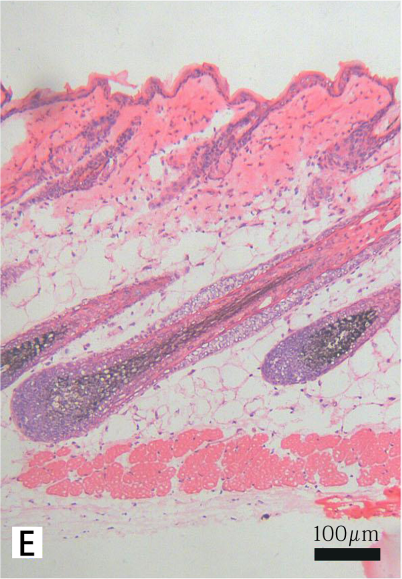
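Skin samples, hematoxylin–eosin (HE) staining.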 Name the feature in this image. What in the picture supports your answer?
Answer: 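Follicles end in large rounded purple swellings deep in the fatty layer. The swellings contain dark brown-black pigment. So: hair bulb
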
